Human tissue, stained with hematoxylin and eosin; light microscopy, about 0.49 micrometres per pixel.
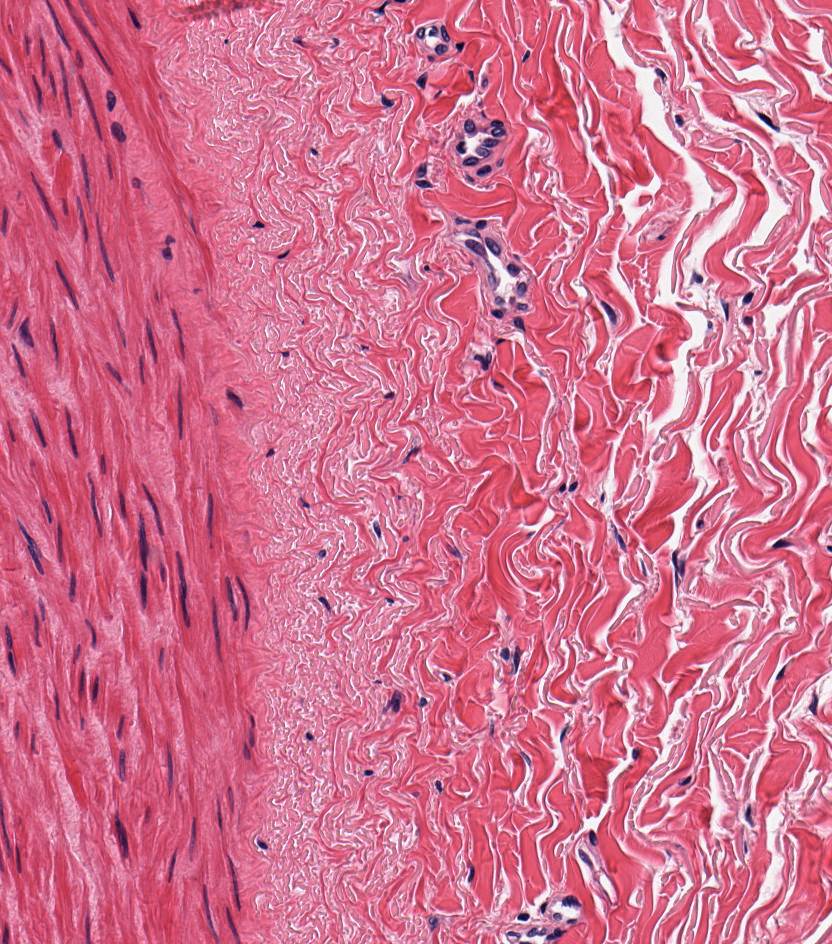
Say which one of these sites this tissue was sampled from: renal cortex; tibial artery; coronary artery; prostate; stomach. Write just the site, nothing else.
tibial artery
